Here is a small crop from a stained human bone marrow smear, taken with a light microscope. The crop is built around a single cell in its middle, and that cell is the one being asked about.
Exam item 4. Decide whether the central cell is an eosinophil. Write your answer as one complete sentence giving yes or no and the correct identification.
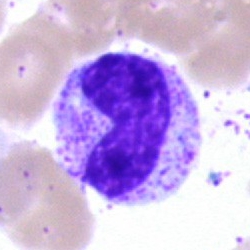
No, the cell in the middle is recognised as a band neutrophil rather than an eosinophil.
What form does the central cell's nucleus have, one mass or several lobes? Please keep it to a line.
The nucleus amounts to one compact mass with a round, oval or kidney-shaped outline.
